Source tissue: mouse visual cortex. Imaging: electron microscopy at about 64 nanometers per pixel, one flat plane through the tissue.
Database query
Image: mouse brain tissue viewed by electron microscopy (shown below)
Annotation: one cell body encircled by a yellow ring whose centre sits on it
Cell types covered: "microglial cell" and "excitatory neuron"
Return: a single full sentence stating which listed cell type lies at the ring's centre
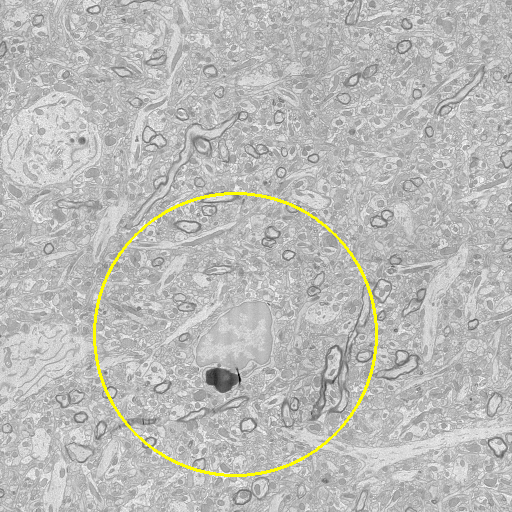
In the image, the cell lying at the ring's centre is a microglial cell.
